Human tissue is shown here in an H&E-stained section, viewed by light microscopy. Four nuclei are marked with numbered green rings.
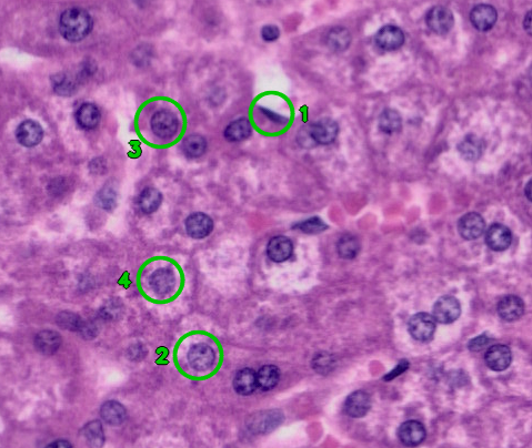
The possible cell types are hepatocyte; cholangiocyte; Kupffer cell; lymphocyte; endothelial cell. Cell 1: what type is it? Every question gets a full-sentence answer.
What the number 1 marks in this field is an endothelial cell.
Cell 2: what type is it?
The cell indicated by marker 2 is a hepatocyte in this section.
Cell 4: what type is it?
In this section, number 4 marks a hepatocyte.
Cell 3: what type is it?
Cell number 3 in this section is a hepatocyte.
